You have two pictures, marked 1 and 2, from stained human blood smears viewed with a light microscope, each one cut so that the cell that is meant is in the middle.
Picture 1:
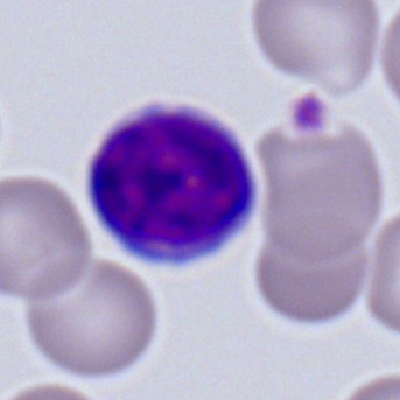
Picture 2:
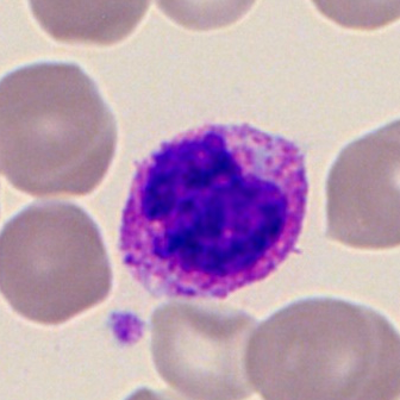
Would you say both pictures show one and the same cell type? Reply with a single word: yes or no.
no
